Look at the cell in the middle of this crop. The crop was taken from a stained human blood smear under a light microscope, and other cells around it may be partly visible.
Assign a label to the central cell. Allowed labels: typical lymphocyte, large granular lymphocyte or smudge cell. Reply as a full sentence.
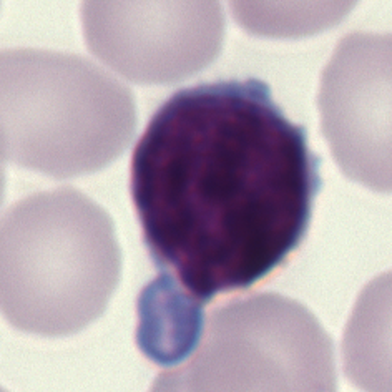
As for the central cell, it is a typical lymphocyte.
